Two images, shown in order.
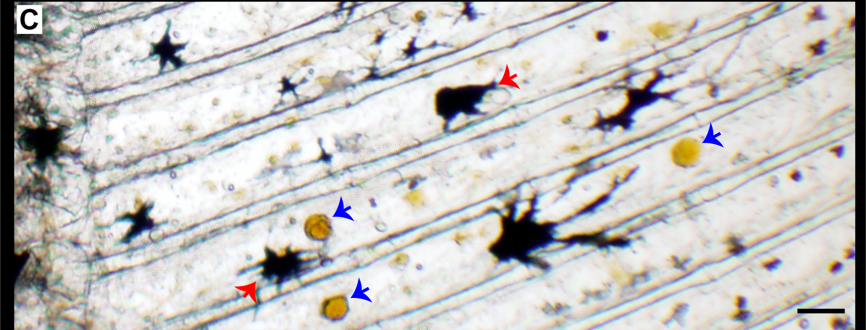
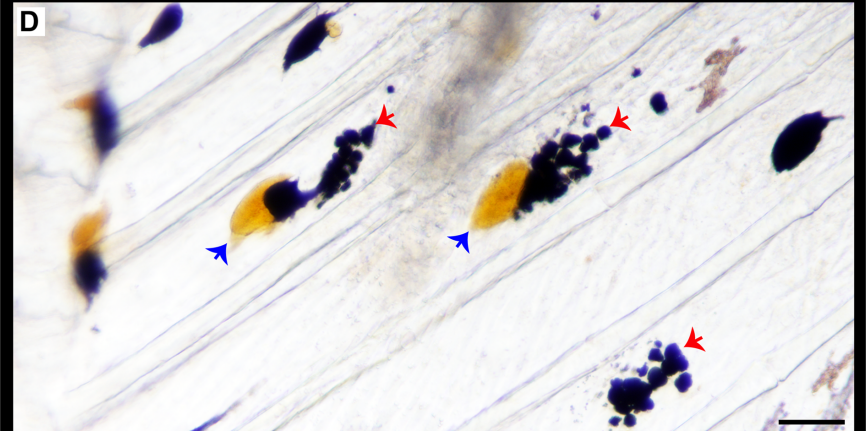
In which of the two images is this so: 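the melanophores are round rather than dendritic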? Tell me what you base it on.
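Second image: dark pigment cells are rounded or broken into clusters of round bodies, without processes. First image: black pigment cells have many long branching processes. On this evidence: the second image.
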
